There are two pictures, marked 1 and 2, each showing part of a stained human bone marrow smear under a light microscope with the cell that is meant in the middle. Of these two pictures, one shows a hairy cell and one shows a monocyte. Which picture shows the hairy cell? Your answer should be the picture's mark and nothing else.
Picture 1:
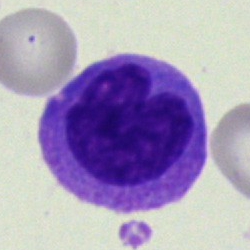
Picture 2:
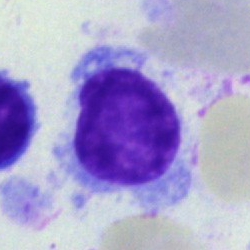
2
